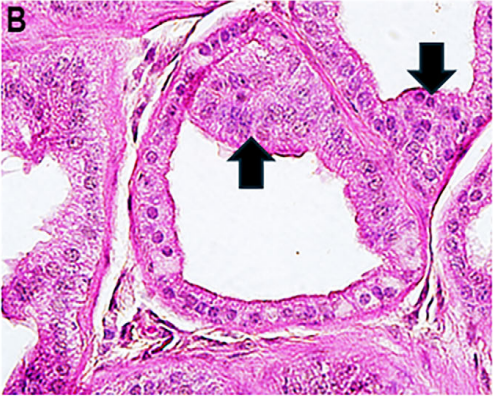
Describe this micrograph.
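This is prostate gland stained with hematoxylin and eosin, showing an acinus lined by epithelial cells with round purple nuclei and pink cytoplasm. In places the lining is no longer a single tidy layer: cells pile up into a thickened mass that bulges toward the lumen, with crowded nuclei. A thin pink band of stroma with flattened nuclei surrounds the acinus and separates it from the neighbouring glands.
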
